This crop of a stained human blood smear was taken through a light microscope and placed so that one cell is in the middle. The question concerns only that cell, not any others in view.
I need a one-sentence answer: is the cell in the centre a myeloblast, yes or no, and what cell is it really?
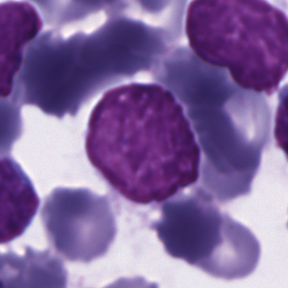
No, the middle cell is classified as a smudge cell and not as a myeloblast.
